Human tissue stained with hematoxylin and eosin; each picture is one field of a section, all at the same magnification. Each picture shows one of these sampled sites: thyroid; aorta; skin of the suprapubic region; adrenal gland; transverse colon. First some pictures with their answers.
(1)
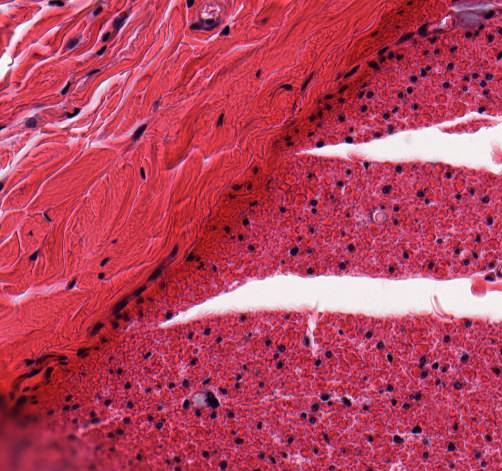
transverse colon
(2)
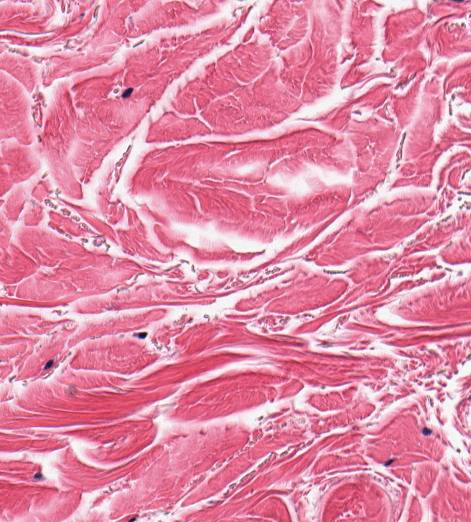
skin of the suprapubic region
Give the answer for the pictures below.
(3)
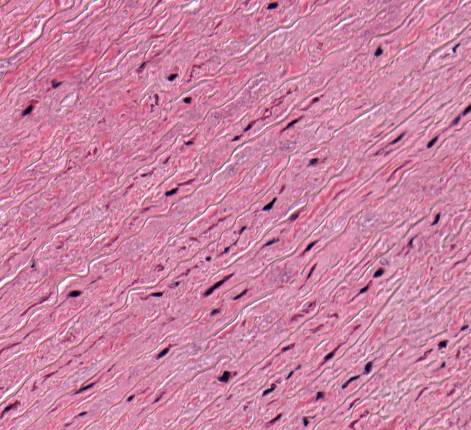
aorta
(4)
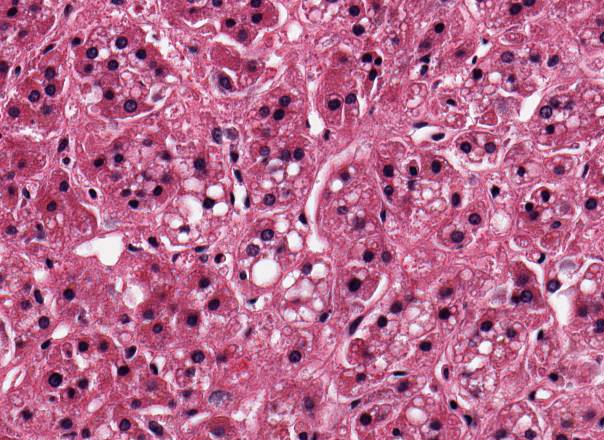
adrenal gland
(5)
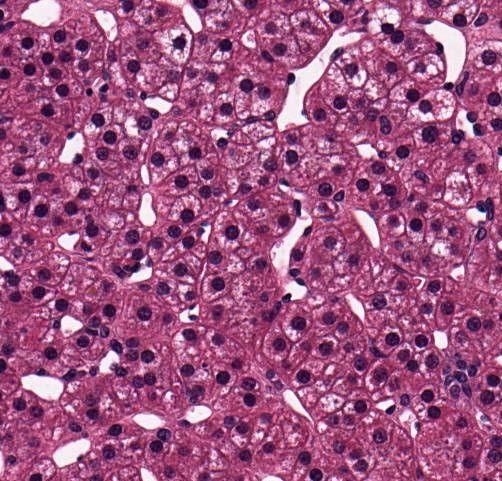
adrenal gland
